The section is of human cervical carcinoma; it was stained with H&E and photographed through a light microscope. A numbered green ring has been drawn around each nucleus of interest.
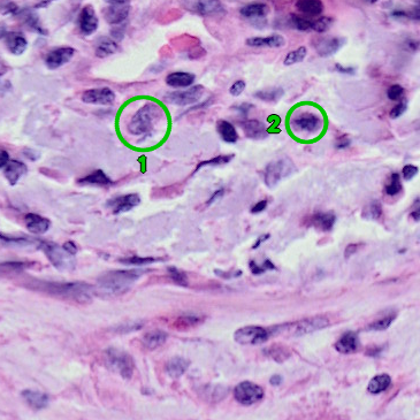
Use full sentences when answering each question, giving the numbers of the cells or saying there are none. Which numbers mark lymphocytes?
Of the numbered cells, only cell 2 is a lymphocyte.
